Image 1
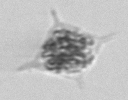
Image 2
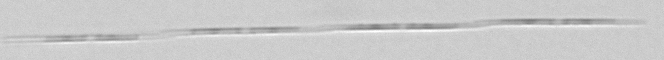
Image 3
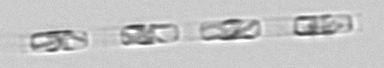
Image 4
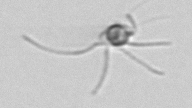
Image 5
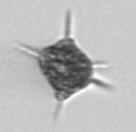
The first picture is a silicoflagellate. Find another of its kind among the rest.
Picture 5.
